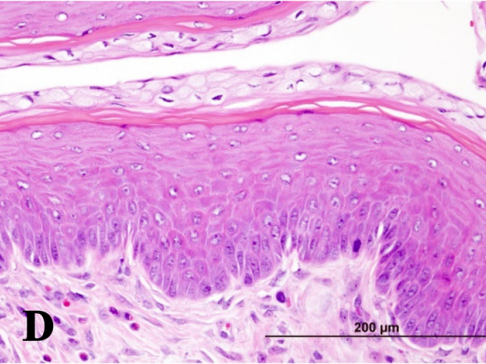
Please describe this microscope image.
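This is stratified squamous lining of the vagina, with a thick nucleated epithelium over pale fibrous connective tissue. Basal cells at the bottom are crowded with darker oval nuclei; above them cells become larger and flatter with pink cytoplasm. On top lies a row of pale cells with clear, vacuolated cytoplasm, the mucified layer. Few or no inflammatory cells are seen within the epithelium, and the connective tissue below holds only scattered nuclei.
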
